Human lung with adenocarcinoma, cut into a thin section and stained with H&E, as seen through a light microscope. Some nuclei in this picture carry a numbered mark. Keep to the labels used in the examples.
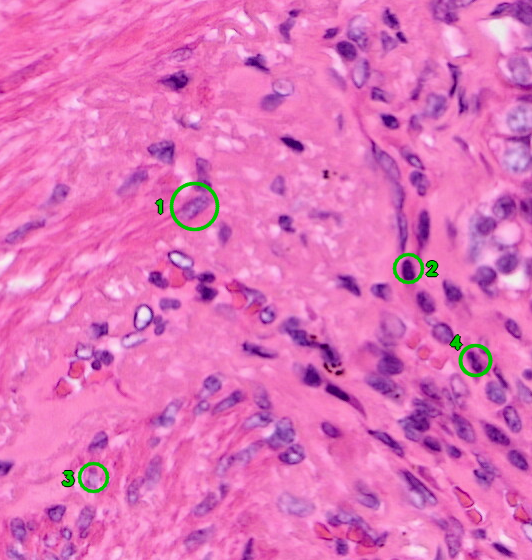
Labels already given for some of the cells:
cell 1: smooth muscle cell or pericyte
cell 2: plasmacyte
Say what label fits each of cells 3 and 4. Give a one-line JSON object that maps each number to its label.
{"3": "smooth muscle cell or pericyte", "4": "plasmacyte"}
